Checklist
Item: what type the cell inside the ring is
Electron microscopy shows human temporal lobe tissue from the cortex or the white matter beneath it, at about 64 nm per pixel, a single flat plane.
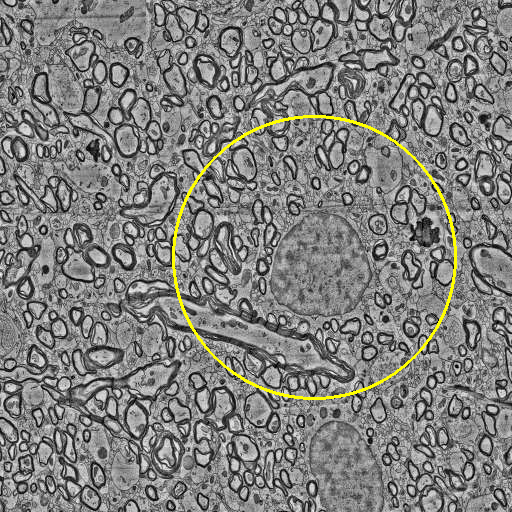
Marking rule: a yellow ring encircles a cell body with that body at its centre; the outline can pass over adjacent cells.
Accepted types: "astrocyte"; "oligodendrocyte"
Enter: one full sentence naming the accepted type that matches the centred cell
The entry is that an oligodendrocyte lies at the centre of the yellow ring.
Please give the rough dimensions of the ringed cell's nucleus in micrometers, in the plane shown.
Approximately 7 micrometres across, in this plane.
